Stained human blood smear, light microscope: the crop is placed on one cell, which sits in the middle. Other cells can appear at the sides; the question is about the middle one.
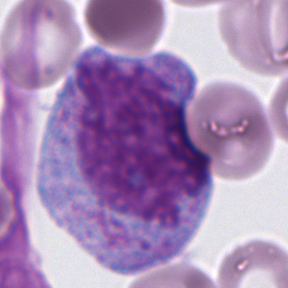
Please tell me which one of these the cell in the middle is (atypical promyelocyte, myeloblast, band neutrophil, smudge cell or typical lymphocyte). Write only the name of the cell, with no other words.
atypical promyelocyte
